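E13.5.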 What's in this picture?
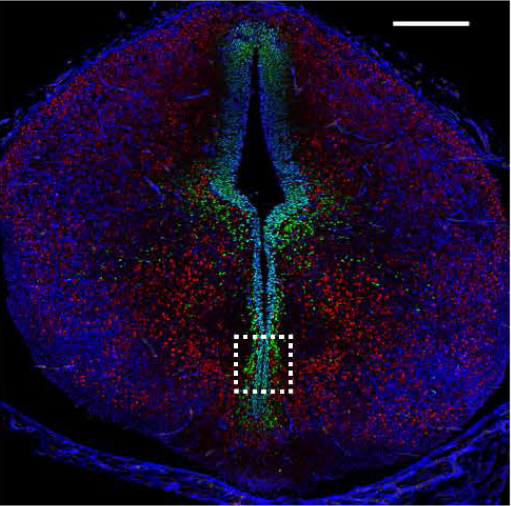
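A narrow blue and green zone lines the slit-like ventricle, where the progenitor layer lies. A dashed box marks the midline region around the lower ventricle.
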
